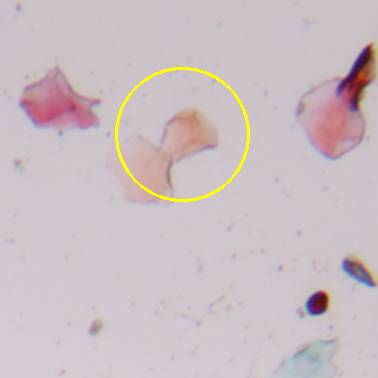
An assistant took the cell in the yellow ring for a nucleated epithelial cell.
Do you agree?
I disagree, it is a cornified epithelial cell.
